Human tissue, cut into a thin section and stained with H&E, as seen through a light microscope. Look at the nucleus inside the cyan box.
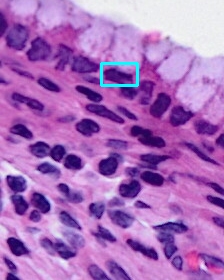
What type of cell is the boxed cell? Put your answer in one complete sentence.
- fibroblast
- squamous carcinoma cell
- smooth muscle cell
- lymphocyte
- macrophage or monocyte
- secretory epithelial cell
The cell meant here is a secretory epithelial cell.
